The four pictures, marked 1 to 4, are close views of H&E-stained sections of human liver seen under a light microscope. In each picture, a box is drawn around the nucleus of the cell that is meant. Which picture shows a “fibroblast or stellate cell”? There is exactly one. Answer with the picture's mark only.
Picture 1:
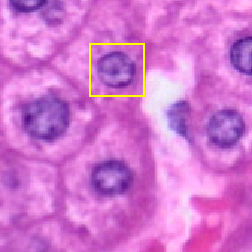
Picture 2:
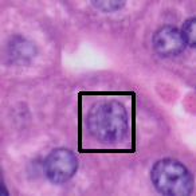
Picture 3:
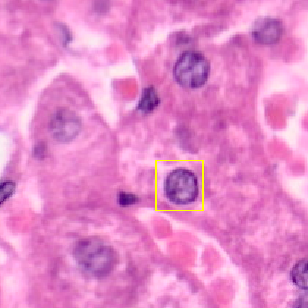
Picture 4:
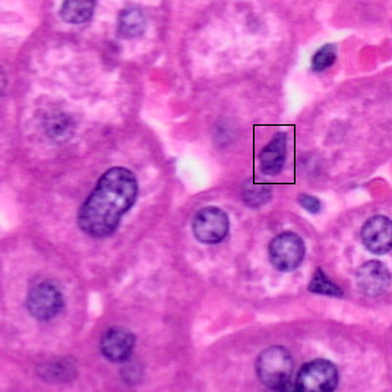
4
